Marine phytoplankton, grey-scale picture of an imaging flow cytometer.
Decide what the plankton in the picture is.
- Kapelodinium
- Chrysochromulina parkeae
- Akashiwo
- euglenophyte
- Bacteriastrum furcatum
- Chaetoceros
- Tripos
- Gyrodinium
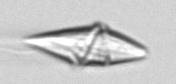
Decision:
Gyrodinium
